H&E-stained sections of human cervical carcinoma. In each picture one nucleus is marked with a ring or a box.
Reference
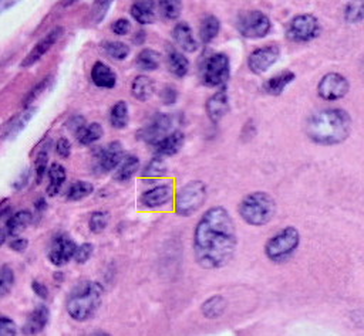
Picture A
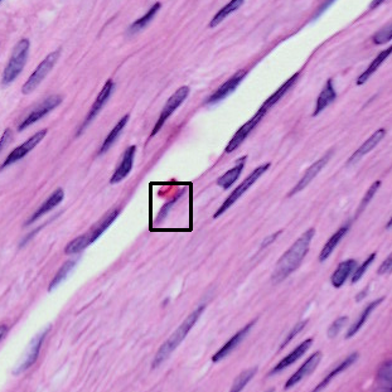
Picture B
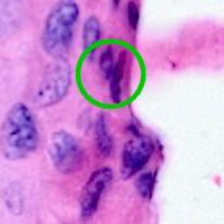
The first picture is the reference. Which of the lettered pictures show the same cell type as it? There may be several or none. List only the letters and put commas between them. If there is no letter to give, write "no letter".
B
